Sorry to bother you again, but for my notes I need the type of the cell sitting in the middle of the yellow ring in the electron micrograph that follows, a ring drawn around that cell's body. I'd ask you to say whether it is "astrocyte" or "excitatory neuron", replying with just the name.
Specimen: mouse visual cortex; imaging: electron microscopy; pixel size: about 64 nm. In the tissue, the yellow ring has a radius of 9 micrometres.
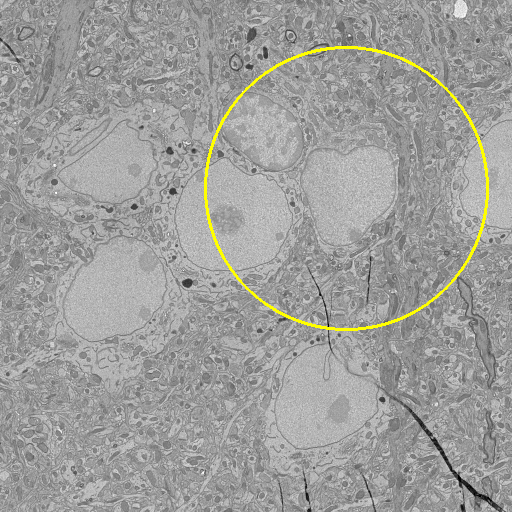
astrocyte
